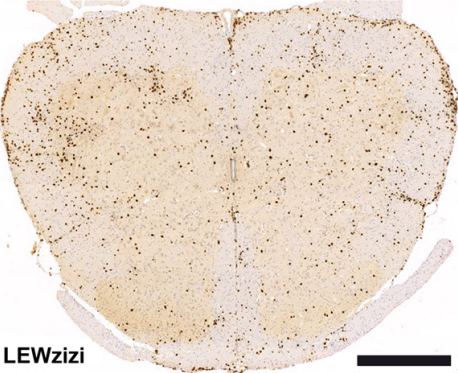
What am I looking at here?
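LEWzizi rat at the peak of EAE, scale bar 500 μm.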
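A spinal cord cross section showing the central butterfly of gray matter within a rim of white matter, split by a ventral midline fissure. Small brown-stained cells are strewn across the section, with clusters along the outer margins of the cord.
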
